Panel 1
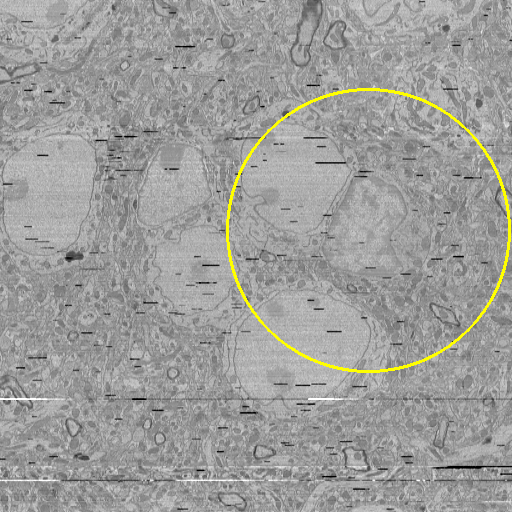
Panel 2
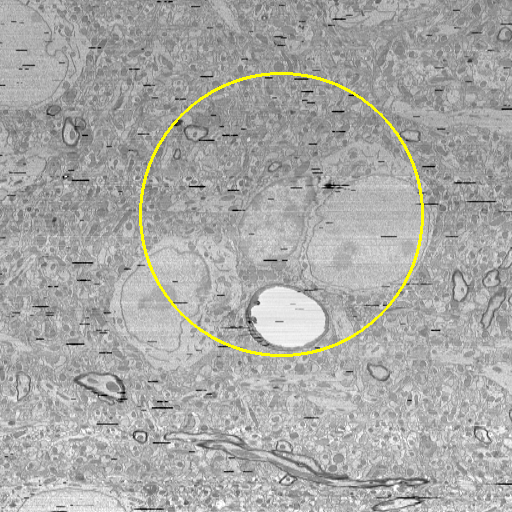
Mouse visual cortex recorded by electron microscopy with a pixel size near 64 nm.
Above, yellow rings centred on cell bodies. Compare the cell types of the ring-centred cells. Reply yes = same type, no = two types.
yes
